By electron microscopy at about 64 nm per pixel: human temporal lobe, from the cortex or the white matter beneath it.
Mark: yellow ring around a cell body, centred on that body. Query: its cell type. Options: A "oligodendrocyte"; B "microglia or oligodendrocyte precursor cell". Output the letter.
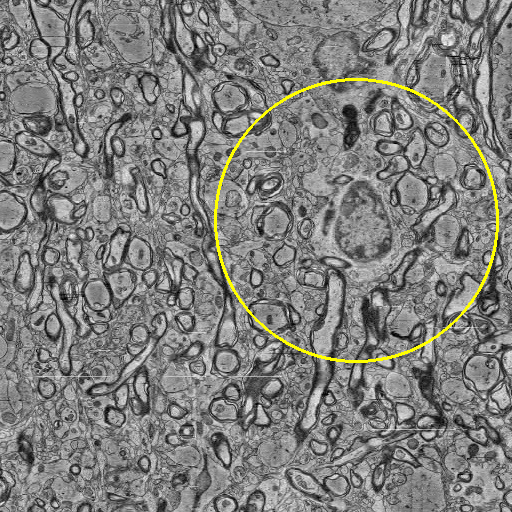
B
